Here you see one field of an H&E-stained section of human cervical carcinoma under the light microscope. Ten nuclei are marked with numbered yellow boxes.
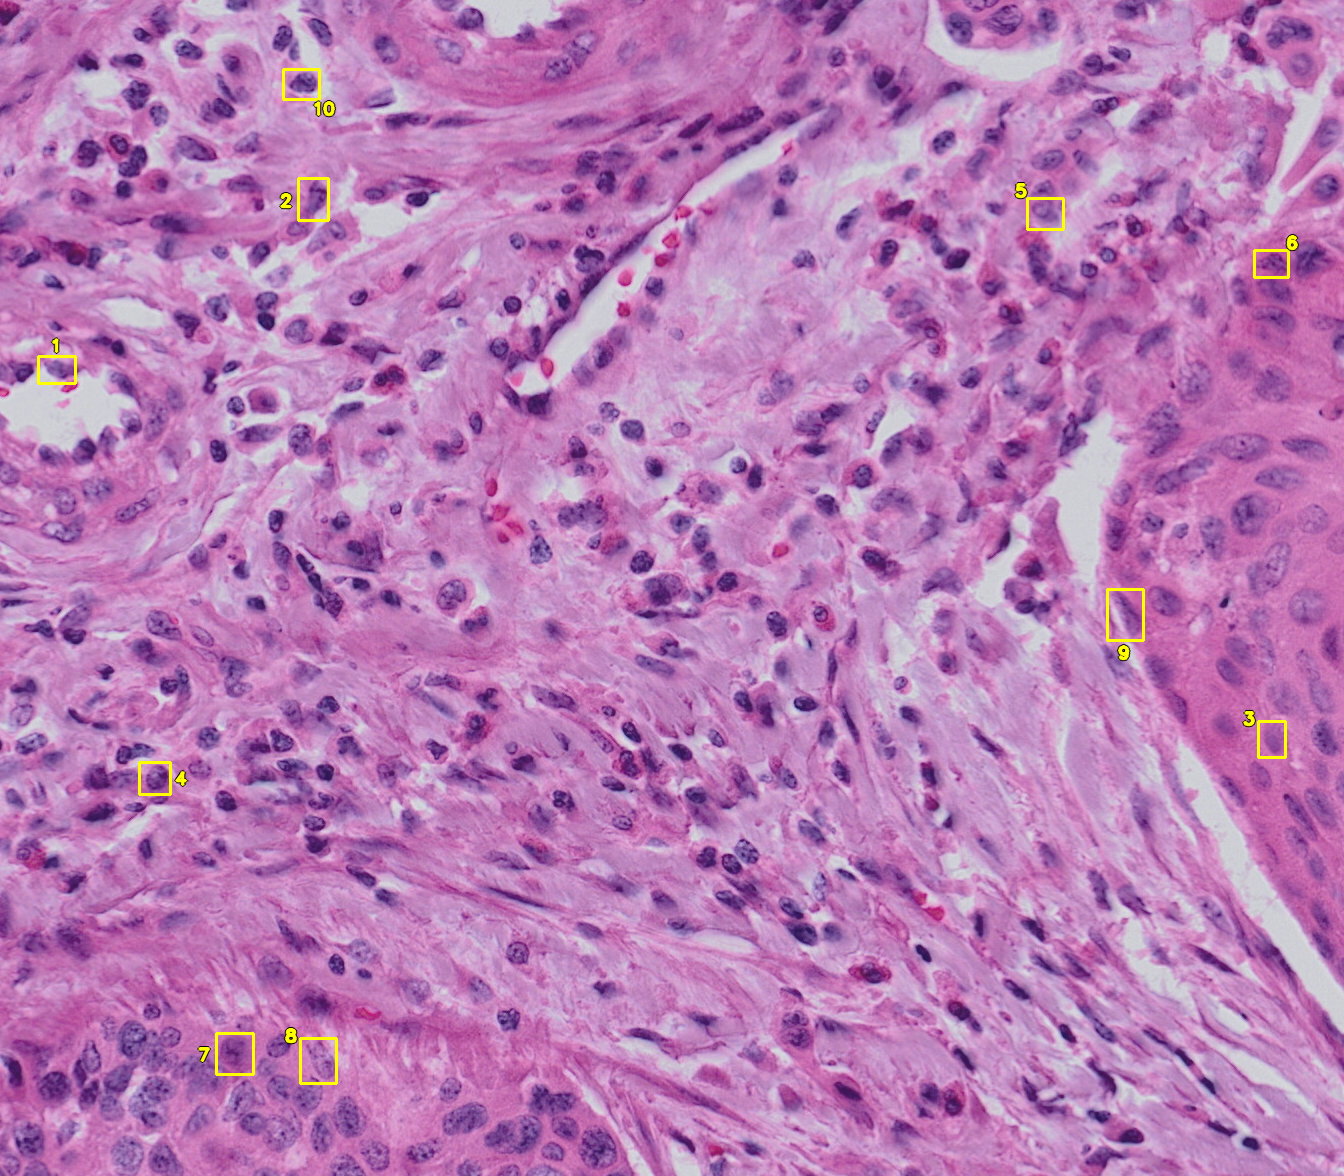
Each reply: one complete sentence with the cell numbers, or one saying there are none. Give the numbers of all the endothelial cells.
The cells which carry the numbers 1 and 5 are endothelial cells.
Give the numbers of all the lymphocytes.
As for the numbered cells, only cell 10 is a lymphocyte.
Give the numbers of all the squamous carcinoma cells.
The cells that have been numbered 3, 6, 7, 8 and 9 are squamous carcinoma cells.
